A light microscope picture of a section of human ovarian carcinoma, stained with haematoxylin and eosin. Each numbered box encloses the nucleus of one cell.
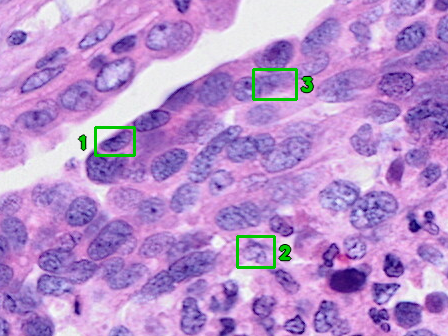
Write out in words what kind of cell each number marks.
Cell 1 is a carcinoma cell, cell 2 is a macrophage or monocyte and cell 3 is a carcinoma cell.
